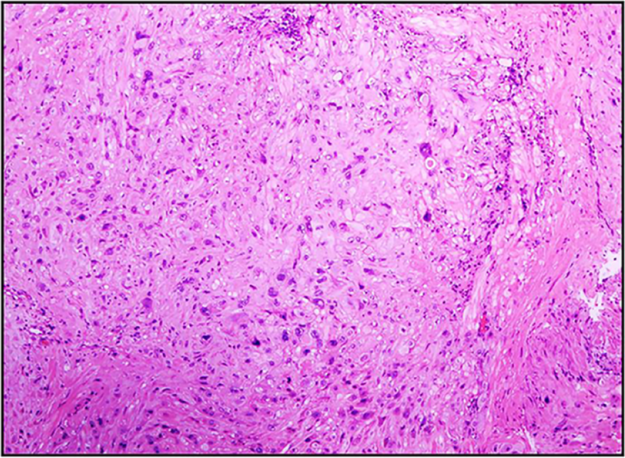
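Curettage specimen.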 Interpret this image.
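This field is dominated by glassy, bright pink stroma in which large intermediate-type trophoblast cells lie scattered singly and in loose clusters. These cells are polygonal to irregular, with ample pink to pale cytoplasm and enlarged, dark purple nuclei that vary considerably in size and shape. Toward the right and lower edges the tissue becomes streaming bundles of elongated spindle cells with slender nuclei, the look of smooth muscle. Small dark clusters of little round cells are scattered between them.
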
